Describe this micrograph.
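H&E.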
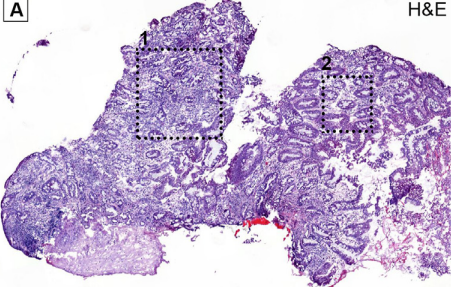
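A mucosal biopsy of glandular columnar epithelium is shown at low power, stained purple and pink. Numerous glands cut in cross and oblique section are crowded within a cellular lamina propria. The stroma between the glands is dense and rich in small nuclei. At the lower left the tissue is paler and looser, and a small patch of red blood lies at the lower edge.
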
